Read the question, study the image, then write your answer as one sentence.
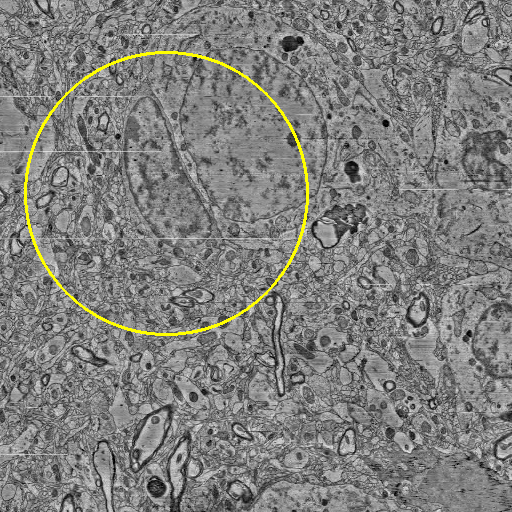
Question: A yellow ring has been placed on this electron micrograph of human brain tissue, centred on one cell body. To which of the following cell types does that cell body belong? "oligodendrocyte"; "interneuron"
That cell body belongs to an oligodendrocyte.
